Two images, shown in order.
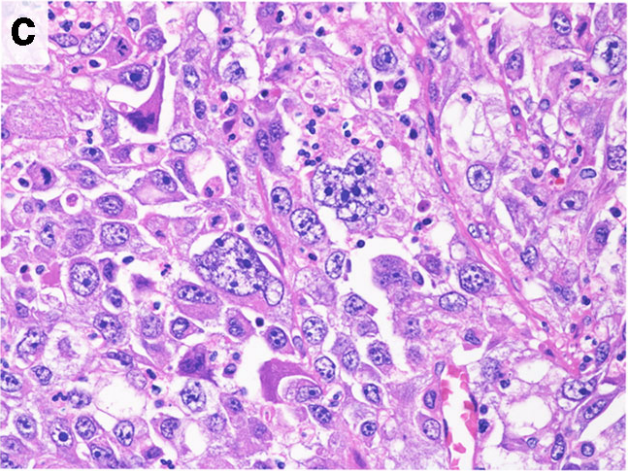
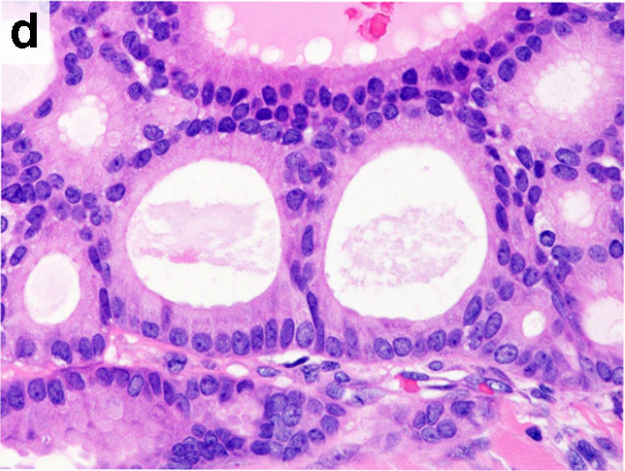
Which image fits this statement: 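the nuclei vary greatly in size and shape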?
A: the first image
